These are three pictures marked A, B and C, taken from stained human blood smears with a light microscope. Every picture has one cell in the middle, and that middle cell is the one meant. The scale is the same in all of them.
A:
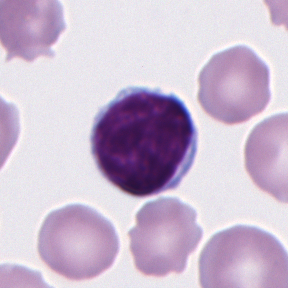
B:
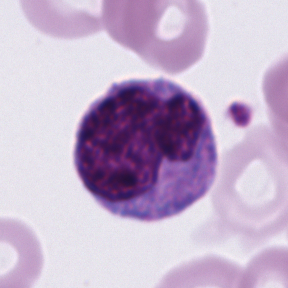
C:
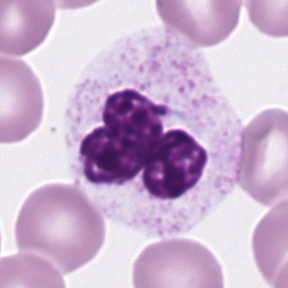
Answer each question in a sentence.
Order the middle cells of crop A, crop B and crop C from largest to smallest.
Going down, they run C, B, A.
